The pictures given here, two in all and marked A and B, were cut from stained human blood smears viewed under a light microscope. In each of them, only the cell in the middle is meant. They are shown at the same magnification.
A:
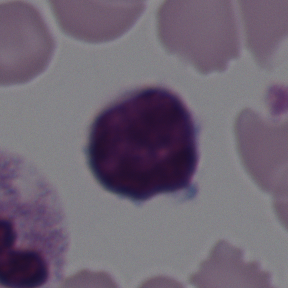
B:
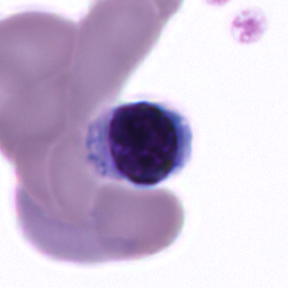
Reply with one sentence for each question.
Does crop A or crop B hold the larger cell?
The cell in crop A is larger, with about 1.5 times the area of the one in crop B.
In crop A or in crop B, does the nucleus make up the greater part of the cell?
In crop A the nucleus takes up the larger part of its cell.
